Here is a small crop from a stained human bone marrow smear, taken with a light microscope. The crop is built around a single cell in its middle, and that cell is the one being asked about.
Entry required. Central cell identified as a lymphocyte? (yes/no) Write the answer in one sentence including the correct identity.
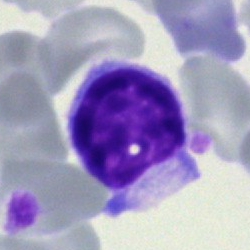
Yes, the crop is centred on a lymphocyte.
